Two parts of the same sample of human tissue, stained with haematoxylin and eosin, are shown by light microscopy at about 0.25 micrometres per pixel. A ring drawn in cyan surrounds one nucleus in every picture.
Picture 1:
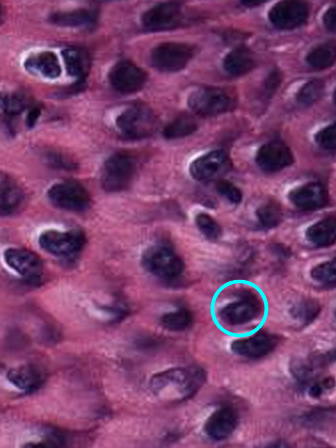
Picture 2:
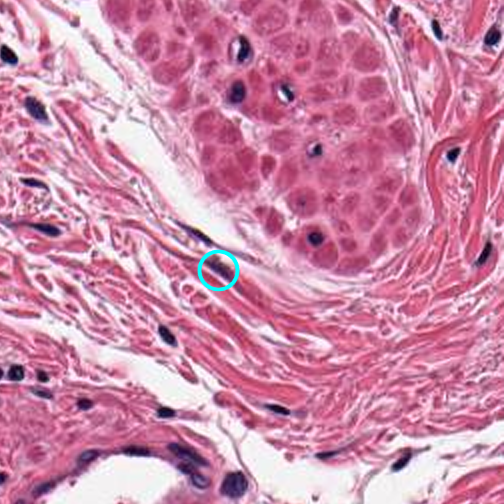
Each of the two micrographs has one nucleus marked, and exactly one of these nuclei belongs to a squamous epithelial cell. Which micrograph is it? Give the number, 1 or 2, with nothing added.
1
